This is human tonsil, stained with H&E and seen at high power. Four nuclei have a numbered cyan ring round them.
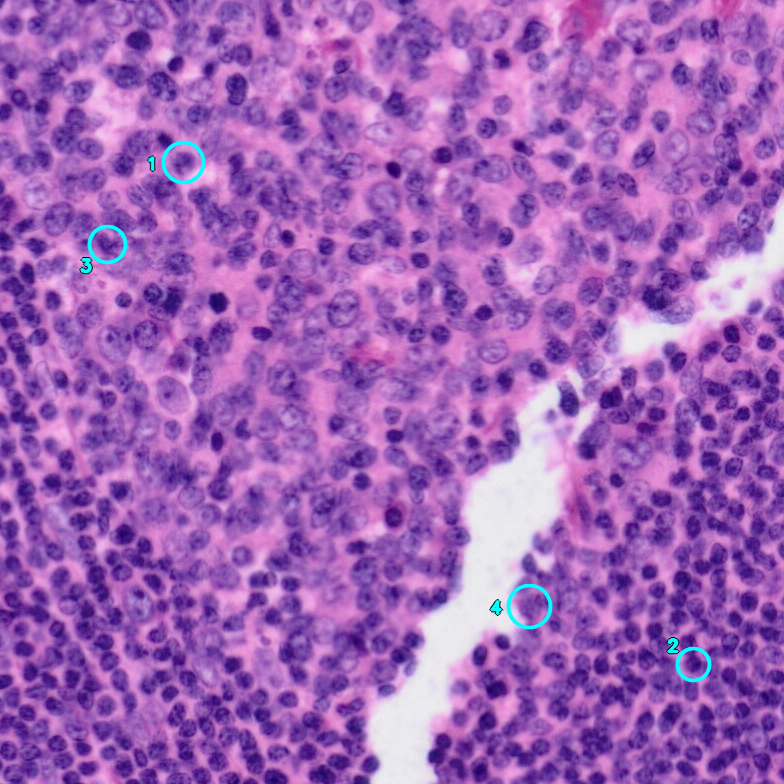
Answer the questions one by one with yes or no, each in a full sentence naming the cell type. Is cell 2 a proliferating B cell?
No. Cell number 2 is a small lymphocyte, not a proliferating B cell.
